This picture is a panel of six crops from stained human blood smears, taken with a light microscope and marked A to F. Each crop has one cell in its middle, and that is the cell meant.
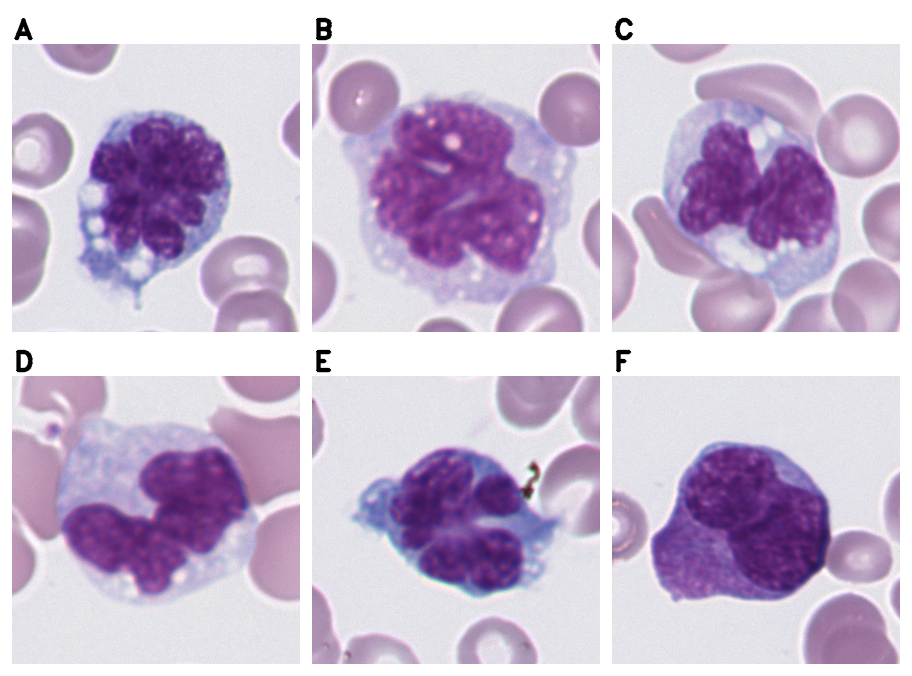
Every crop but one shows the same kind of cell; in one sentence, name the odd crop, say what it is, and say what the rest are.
Found in all crops but one are monocytes; the exception, crop F, contains an atypical promyelocyte.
